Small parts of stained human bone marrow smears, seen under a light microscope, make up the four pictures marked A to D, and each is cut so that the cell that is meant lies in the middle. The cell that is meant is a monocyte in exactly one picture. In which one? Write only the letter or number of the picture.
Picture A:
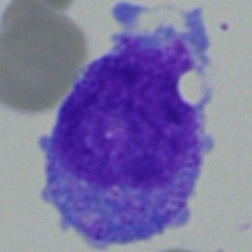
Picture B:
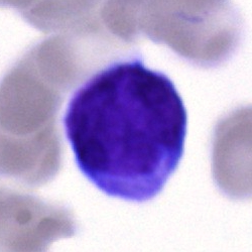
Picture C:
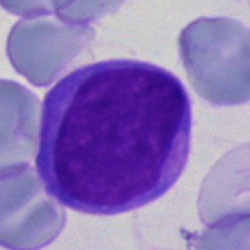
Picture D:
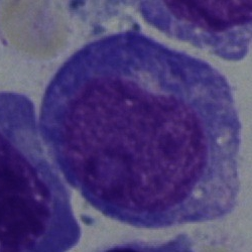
A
